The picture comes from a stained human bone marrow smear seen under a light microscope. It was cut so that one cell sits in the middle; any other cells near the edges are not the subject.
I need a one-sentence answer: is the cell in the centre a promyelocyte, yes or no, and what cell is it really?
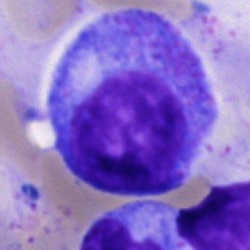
Yes, the cell found in the center of the crop is a promyelocyte.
